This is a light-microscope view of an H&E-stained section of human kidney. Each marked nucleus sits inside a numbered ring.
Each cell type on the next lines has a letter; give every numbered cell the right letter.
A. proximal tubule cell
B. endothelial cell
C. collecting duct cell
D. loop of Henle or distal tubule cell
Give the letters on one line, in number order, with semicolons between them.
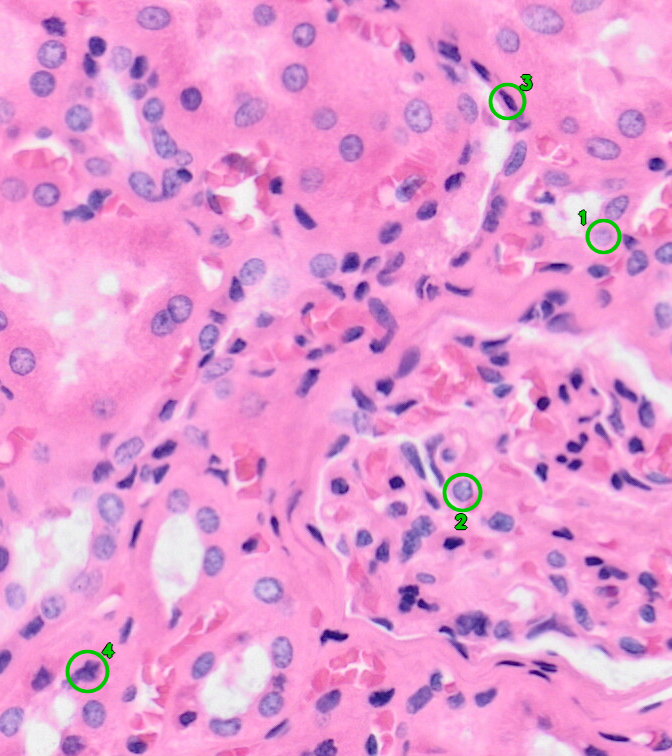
C; B; C; D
